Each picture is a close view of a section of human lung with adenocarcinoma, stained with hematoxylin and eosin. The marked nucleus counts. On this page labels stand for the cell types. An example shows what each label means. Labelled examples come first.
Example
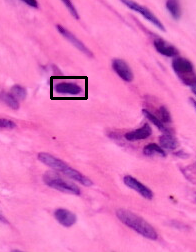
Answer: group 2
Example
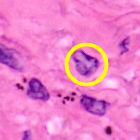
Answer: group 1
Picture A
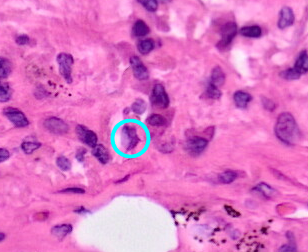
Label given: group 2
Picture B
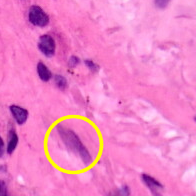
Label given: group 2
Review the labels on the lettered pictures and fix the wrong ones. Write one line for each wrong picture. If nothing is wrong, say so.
Wrong: B (group 2); correct: group 1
